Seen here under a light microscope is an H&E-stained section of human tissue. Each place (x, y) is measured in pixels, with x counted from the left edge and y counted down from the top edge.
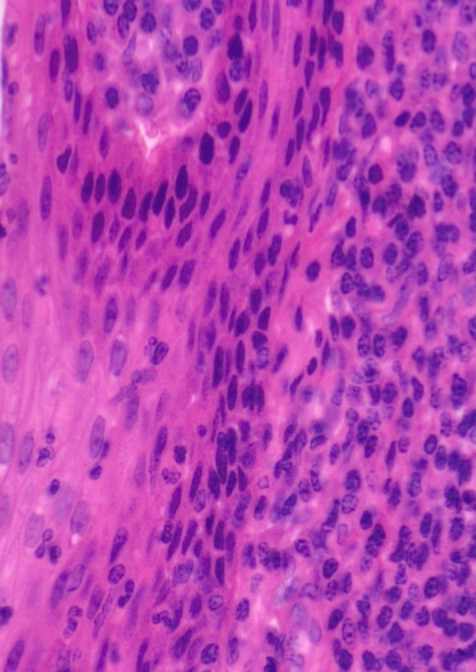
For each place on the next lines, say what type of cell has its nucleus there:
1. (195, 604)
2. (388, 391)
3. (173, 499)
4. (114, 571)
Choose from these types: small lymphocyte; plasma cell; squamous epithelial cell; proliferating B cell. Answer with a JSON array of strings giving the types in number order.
["squamous epithelial cell", "plasma cell", "squamous epithelial cell", "squamous epithelial cell"]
